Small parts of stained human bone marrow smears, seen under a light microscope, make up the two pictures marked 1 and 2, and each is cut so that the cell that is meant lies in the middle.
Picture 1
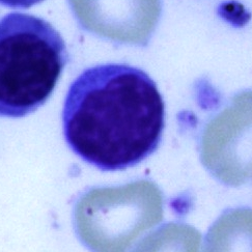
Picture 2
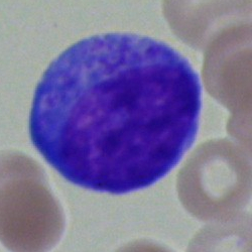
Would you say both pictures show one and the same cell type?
no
